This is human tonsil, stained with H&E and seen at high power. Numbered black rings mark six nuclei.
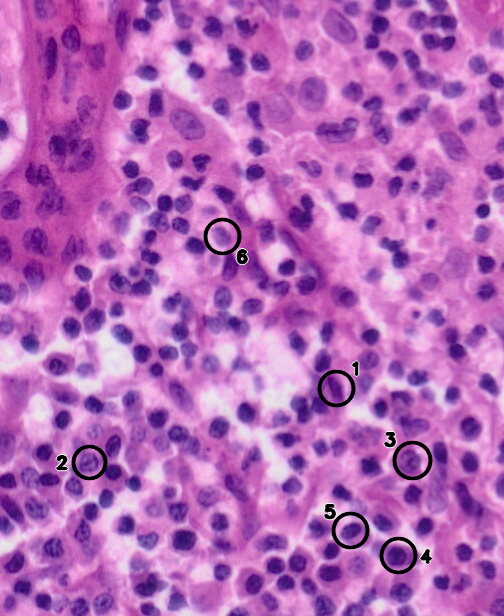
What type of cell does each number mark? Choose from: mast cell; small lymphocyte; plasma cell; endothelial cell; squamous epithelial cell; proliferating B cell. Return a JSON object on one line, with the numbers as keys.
{"1": "squamous epithelial cell", "2": "plasma cell", "3": "plasma cell", "4": "plasma cell", "5": "plasma cell", "6": "squamous epithelial cell"}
